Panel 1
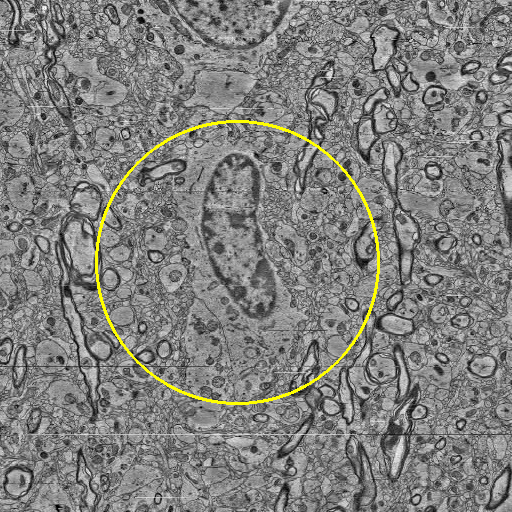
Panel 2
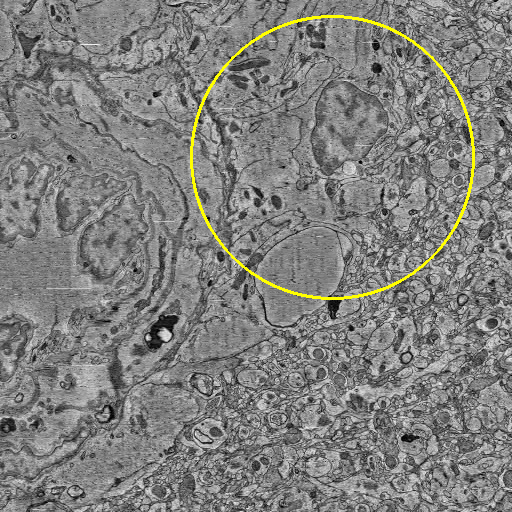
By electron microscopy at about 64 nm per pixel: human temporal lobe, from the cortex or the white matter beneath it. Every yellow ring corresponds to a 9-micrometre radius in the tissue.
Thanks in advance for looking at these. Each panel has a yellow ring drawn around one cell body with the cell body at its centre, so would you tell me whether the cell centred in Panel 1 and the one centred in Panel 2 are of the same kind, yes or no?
yes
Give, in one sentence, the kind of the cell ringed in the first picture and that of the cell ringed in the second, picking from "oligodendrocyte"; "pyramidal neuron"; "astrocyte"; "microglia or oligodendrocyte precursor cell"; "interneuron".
The cell in the first picture is a microglial cell or oligodendrocyte precursor cell, and so is the one in the second.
